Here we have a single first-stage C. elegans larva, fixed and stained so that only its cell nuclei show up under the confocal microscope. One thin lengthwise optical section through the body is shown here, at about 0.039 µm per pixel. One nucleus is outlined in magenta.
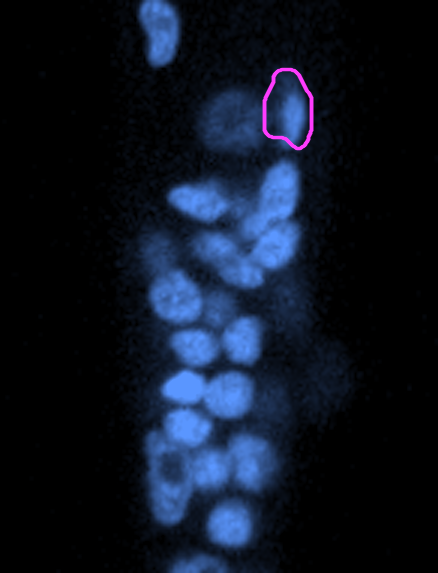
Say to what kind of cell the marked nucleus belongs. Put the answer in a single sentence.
The nucleus comes from an enteric muscle cell.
